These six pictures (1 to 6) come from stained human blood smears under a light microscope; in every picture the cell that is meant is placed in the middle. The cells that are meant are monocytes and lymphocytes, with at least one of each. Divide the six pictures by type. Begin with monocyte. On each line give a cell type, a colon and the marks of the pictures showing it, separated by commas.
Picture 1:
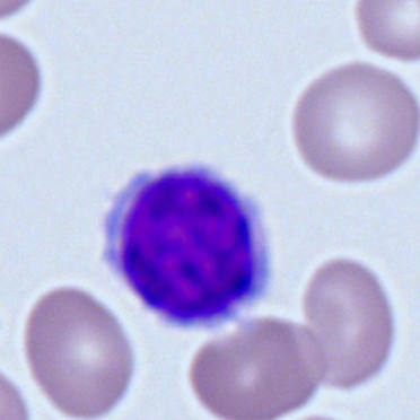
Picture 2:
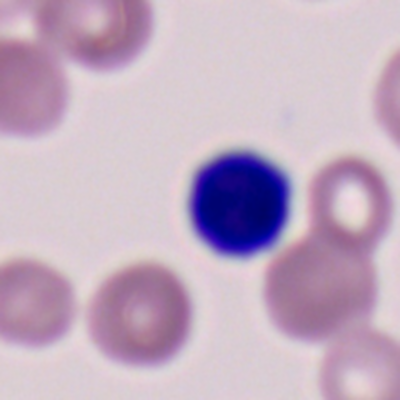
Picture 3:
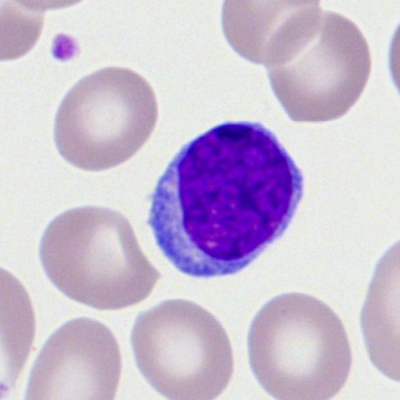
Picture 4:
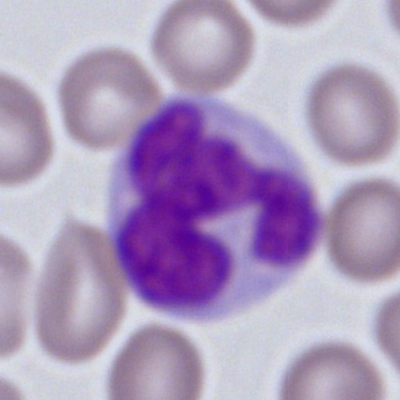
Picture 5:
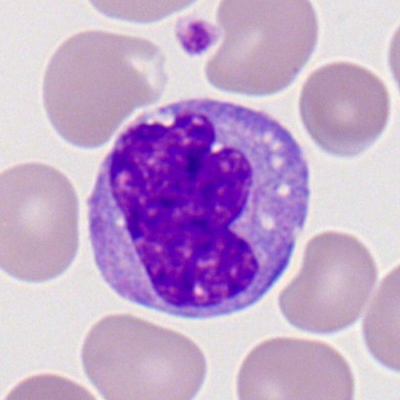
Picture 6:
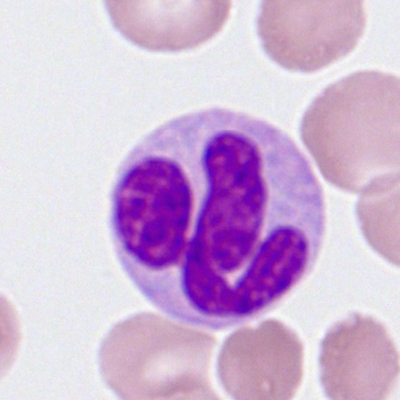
monocyte: 4, 5, 6
lymphocyte: 1, 2, 3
